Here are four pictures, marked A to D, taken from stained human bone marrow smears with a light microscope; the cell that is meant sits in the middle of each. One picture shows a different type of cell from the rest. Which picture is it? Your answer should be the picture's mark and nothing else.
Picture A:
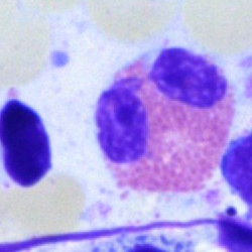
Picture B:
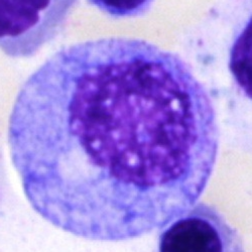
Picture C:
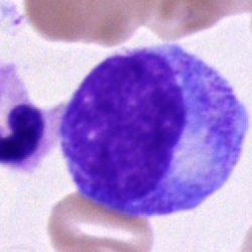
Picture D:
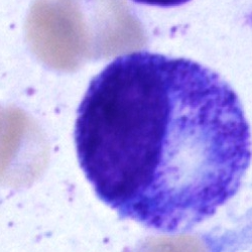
A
